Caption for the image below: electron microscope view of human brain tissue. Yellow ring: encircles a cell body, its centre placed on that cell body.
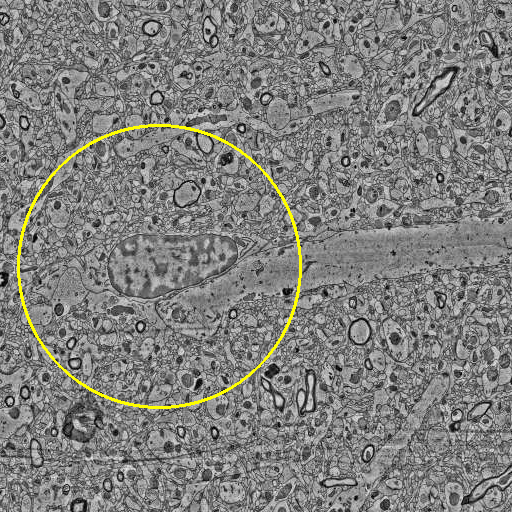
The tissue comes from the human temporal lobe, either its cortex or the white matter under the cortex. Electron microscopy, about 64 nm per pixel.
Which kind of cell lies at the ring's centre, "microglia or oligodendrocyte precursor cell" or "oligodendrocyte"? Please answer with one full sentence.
The picture shows a microglial cell or oligodendrocyte precursor cell at the centre of the yellow ring.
